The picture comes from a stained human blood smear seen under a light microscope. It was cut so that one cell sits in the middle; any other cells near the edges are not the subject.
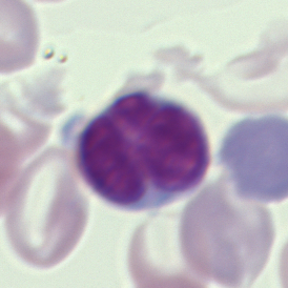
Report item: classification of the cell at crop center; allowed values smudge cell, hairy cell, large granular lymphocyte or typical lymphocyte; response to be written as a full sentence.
What the crop centres on is a typical lymphocyte.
